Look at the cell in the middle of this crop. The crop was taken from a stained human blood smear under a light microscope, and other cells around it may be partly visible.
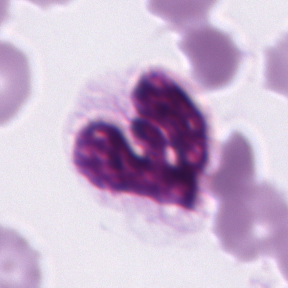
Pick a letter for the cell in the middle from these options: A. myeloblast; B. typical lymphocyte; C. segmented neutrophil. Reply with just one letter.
C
